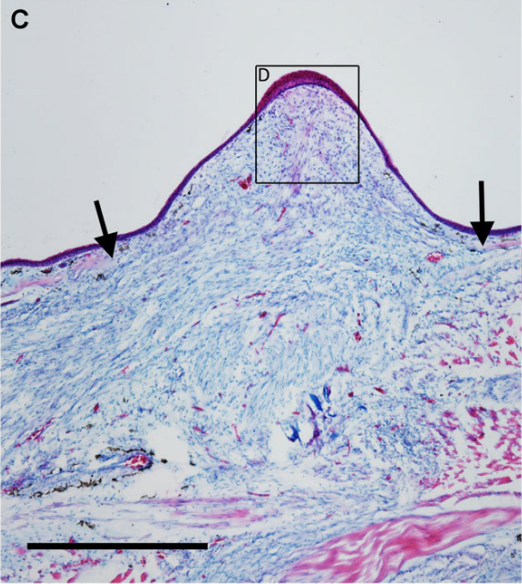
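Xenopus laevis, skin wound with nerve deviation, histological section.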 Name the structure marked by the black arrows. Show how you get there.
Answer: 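The arrows sit at the base of the dome-shaped outgrowth on either side. Beneath the epidermis away from the dome runs a compact fibrous layer that stops near where the arrows point.
Conclusion: the border of the dermal collagen layer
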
